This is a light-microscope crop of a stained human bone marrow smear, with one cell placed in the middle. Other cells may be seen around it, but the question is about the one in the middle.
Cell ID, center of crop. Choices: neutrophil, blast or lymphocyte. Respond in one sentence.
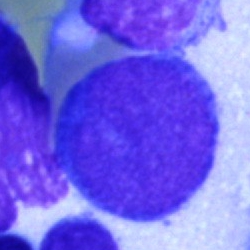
The middle of this crop holds a blast.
